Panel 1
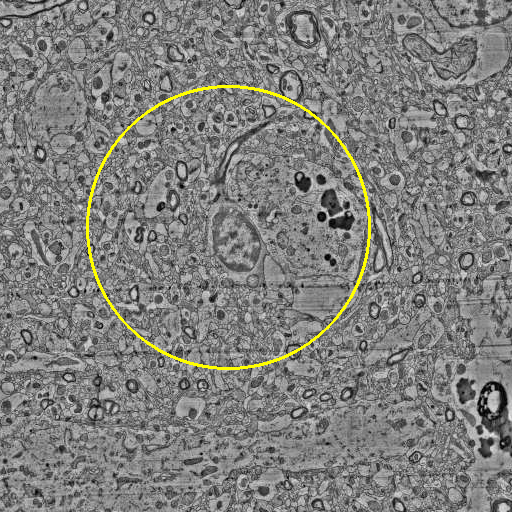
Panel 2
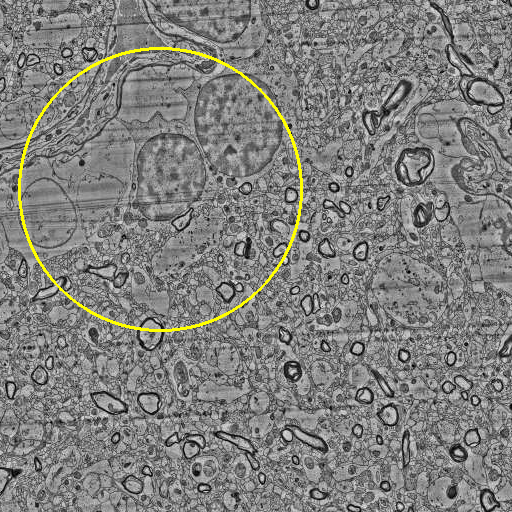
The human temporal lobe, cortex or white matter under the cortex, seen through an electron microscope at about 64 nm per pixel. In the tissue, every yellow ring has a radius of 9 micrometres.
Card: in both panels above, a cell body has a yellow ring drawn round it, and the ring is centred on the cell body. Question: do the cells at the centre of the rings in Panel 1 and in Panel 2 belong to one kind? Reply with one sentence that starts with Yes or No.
Yes, the cells centred in the rings of Panel 1 and Panel 2 are one kind of cell.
